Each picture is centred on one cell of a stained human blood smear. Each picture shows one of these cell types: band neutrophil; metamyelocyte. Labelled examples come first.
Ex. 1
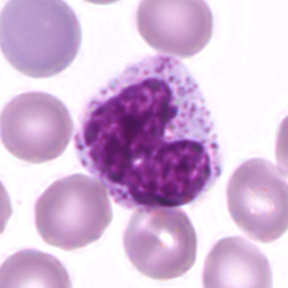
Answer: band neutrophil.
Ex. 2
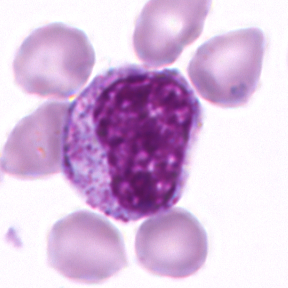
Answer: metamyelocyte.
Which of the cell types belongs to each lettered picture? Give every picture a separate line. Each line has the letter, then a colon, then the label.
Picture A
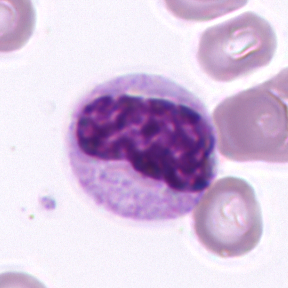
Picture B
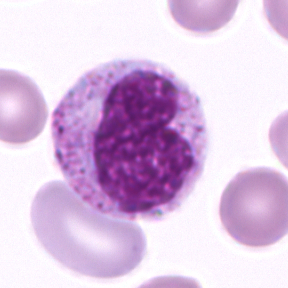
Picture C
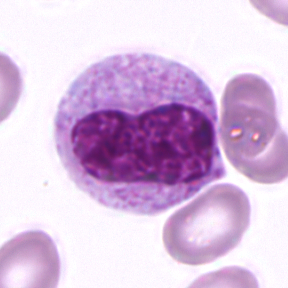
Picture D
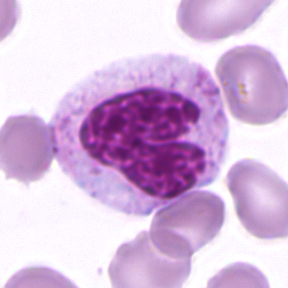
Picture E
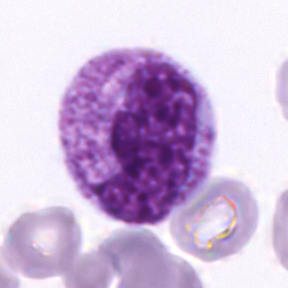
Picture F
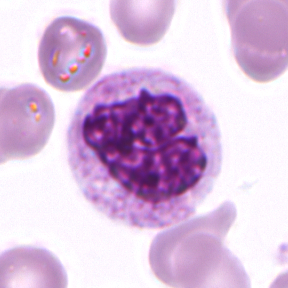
A: metamyelocyte.
B: band neutrophil.
C: metamyelocyte.
D: band neutrophil.
E: metamyelocyte.
F: band neutrophil.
